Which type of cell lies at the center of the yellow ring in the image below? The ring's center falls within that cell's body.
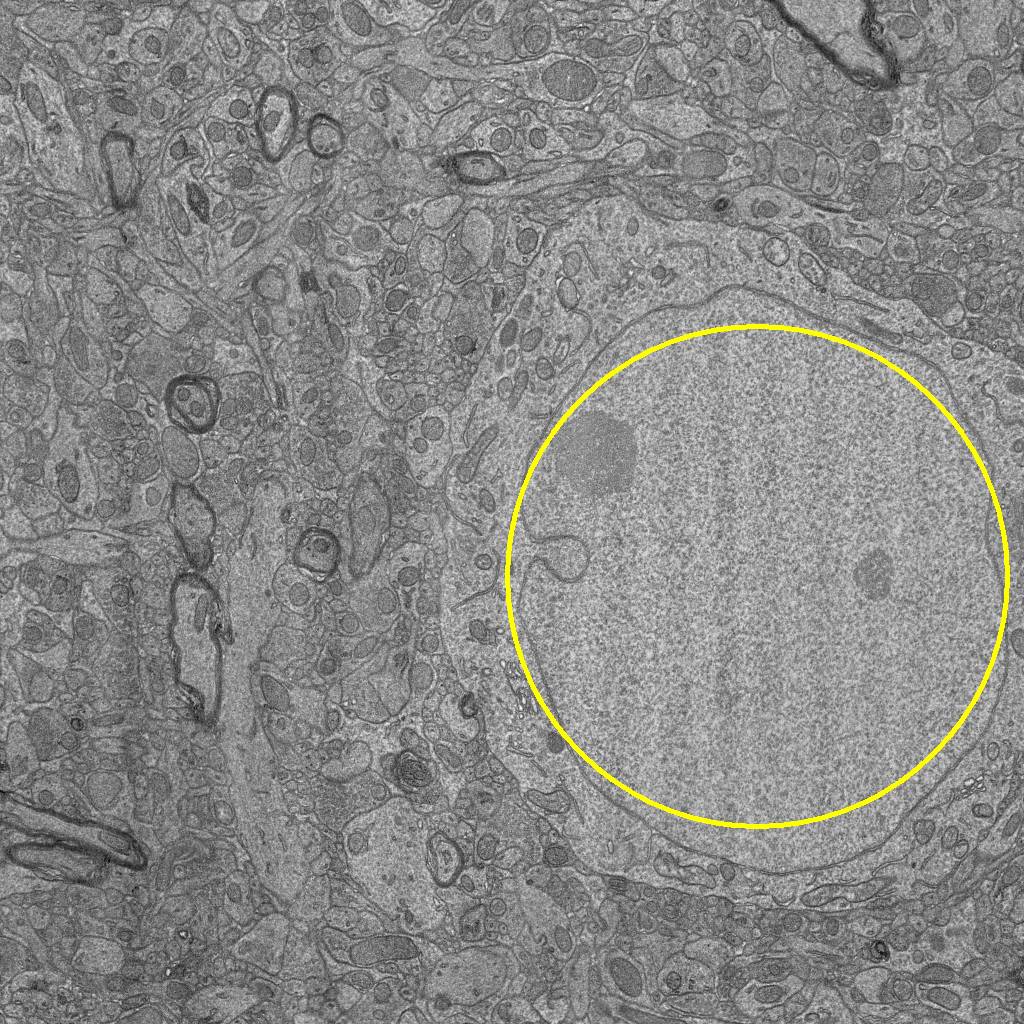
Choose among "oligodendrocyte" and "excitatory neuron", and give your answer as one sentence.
The cell body at the center belongs to an excitatory neuron.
